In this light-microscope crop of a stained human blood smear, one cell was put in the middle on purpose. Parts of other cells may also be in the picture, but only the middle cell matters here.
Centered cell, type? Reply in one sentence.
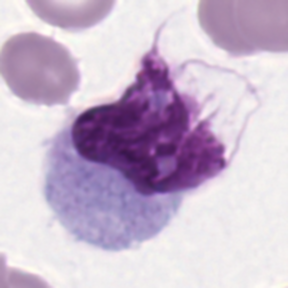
In the center of this field lies a plasma cell.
